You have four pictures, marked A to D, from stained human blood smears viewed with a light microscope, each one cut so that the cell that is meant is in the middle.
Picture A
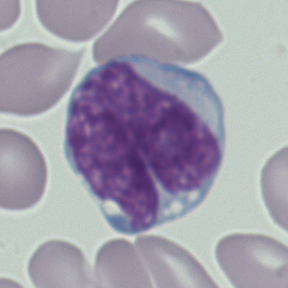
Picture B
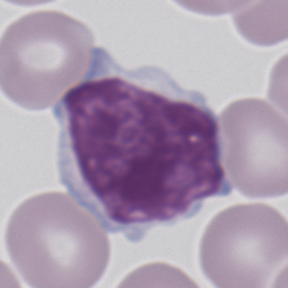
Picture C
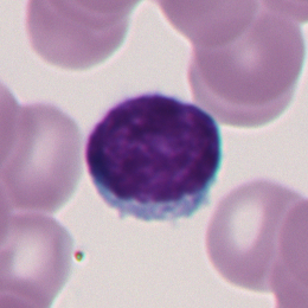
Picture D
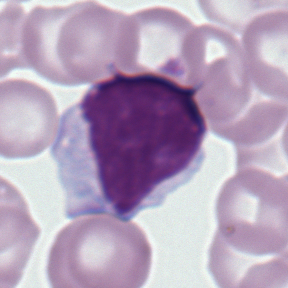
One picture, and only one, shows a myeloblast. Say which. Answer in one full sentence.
It is picture A that shows the myeloblast.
